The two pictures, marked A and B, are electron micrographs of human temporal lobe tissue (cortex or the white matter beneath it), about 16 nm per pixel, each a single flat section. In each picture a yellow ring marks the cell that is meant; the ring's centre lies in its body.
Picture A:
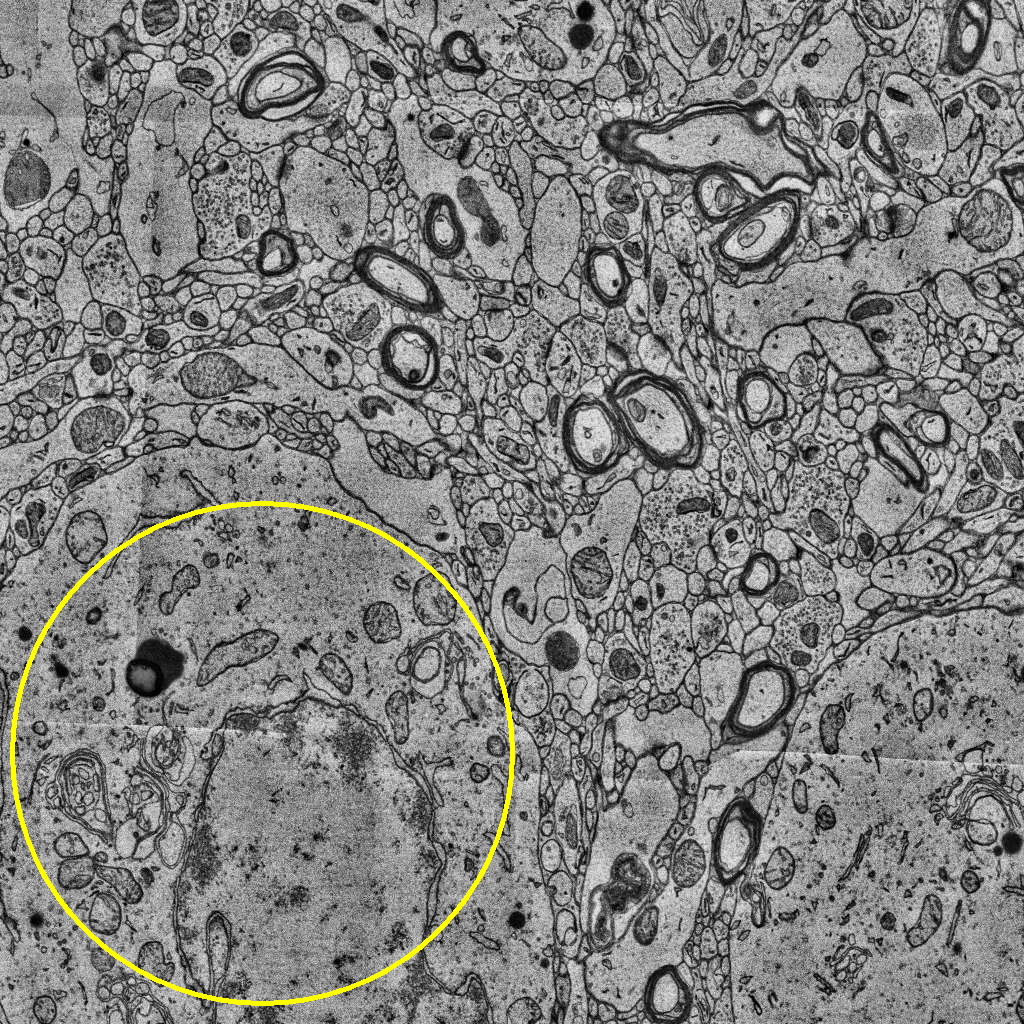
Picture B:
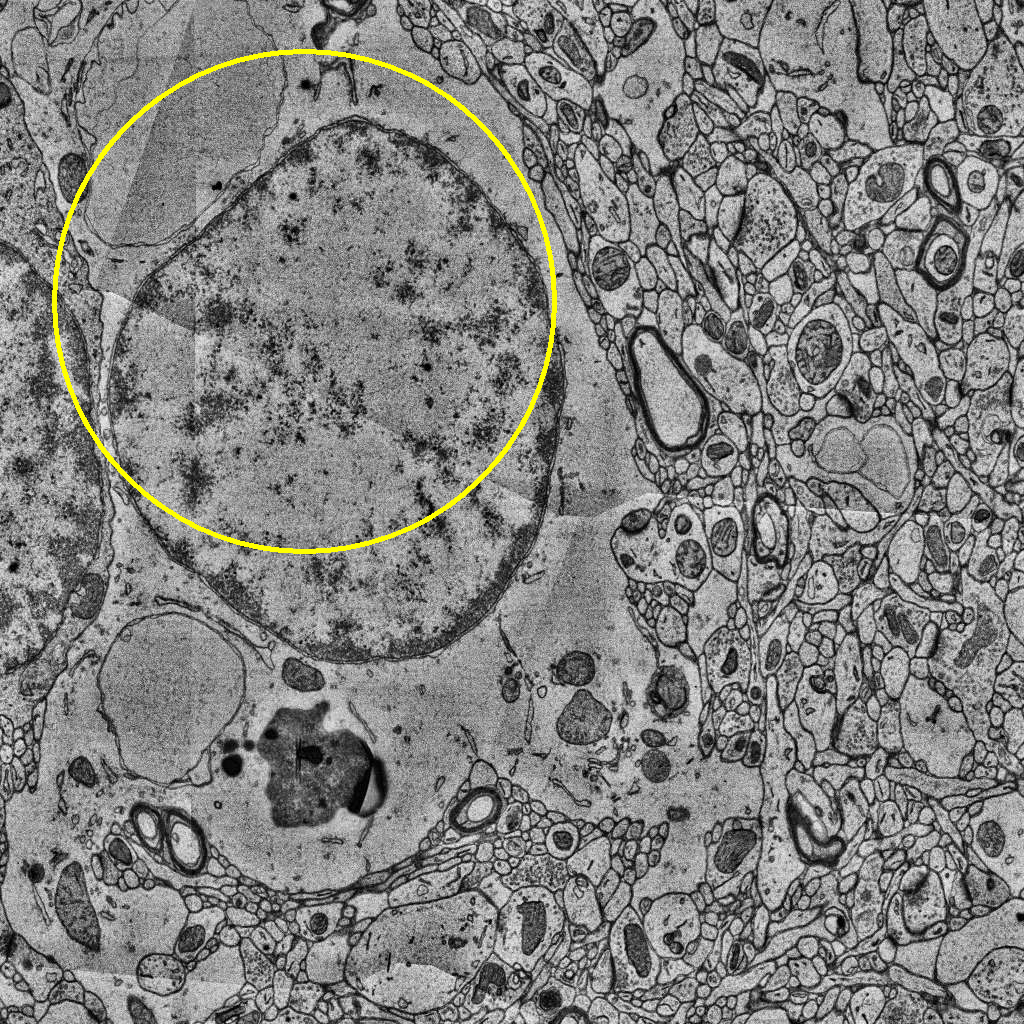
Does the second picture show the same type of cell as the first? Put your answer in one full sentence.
No, the types are not the same, since picture A shows an interneuron and picture B an astrocyte.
